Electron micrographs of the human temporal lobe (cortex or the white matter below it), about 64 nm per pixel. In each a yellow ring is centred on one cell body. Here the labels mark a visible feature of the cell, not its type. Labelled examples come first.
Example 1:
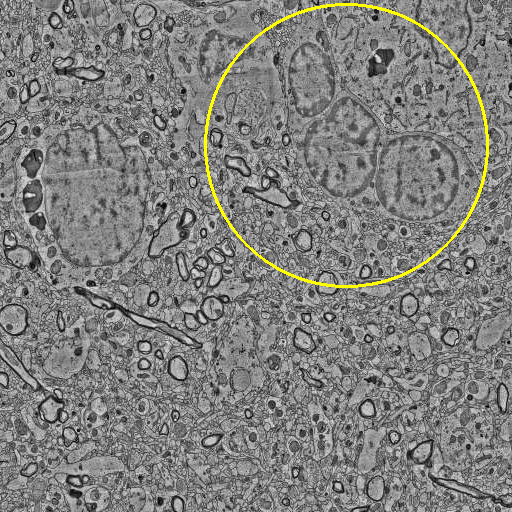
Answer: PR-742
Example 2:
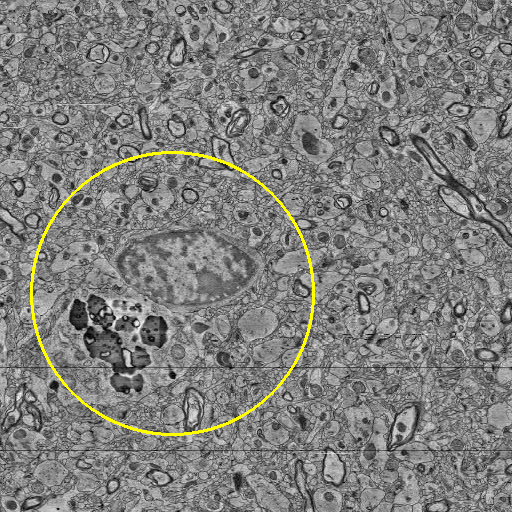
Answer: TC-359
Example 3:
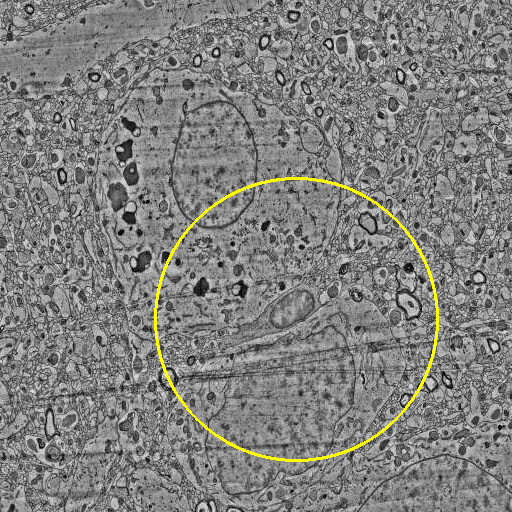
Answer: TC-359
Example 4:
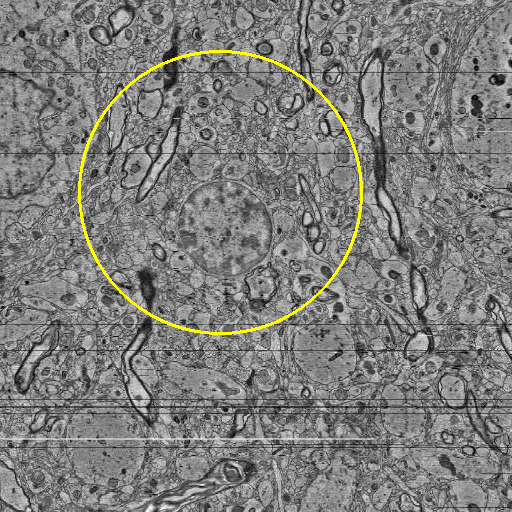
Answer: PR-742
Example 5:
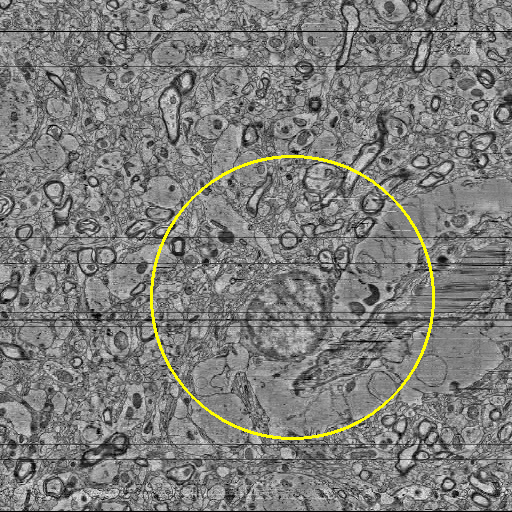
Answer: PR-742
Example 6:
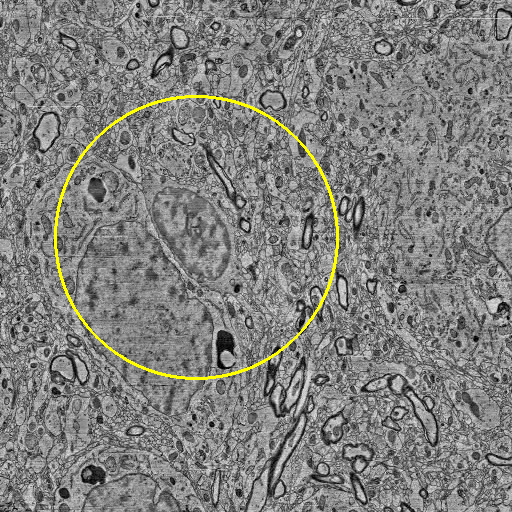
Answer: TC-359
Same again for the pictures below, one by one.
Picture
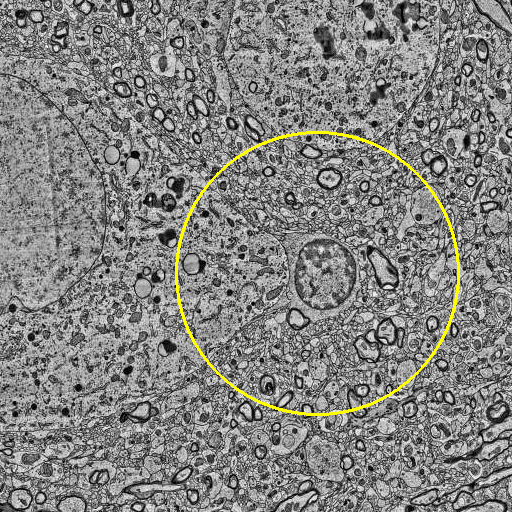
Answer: PR-742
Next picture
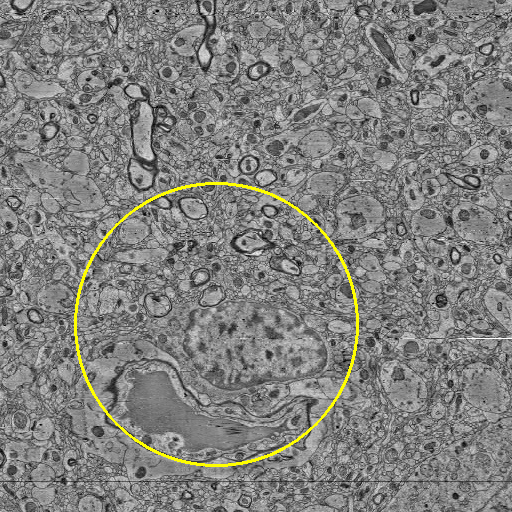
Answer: TC-359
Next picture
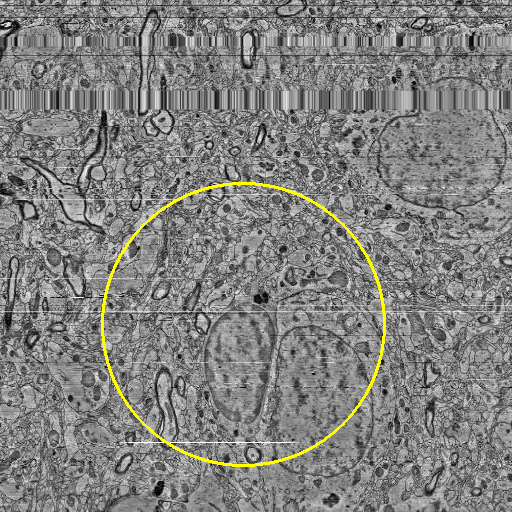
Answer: TC-359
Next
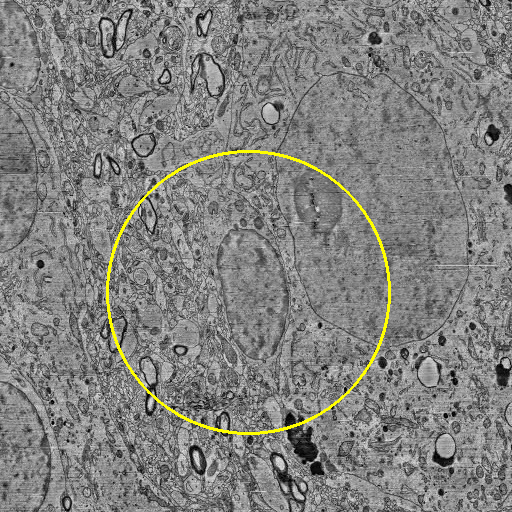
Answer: TC-359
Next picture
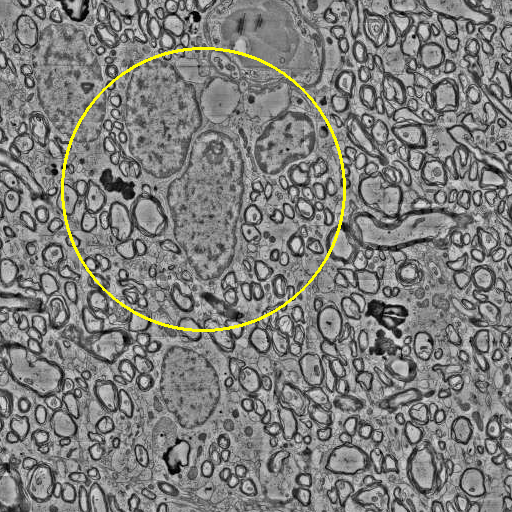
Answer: TC-359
